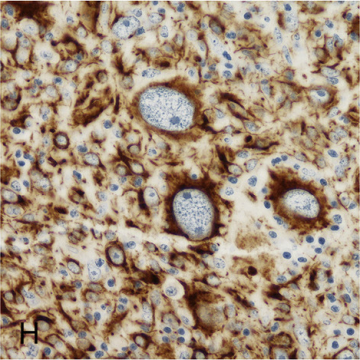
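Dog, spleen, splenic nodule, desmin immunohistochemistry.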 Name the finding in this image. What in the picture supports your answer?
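Very large pale oval nuclei ringed by strongly brown cytoplasm. Surrounding cells are much smaller.
Hence: karyomegalic cells.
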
